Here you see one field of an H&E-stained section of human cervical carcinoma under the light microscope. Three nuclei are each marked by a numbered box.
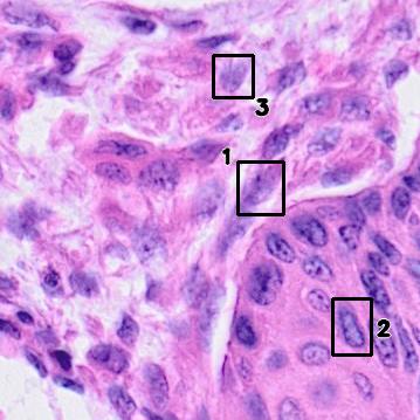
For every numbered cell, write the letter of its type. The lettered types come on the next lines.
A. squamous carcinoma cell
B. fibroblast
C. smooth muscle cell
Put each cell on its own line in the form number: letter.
1: B
2: A
3: B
